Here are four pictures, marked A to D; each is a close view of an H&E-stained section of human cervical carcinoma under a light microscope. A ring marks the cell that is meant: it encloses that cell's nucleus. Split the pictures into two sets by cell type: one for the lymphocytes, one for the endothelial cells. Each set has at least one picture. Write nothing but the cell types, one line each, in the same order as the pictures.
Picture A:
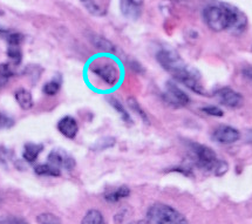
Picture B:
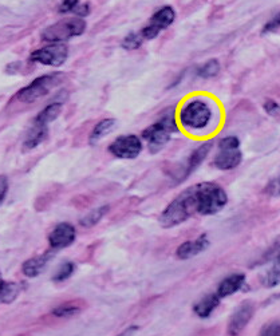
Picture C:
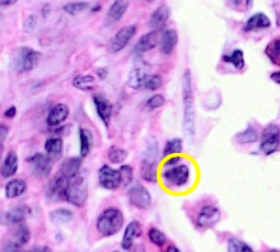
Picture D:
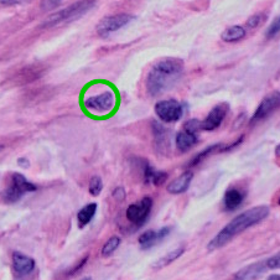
endothelial cell
lymphocyte
lymphocyte
lymphocyte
